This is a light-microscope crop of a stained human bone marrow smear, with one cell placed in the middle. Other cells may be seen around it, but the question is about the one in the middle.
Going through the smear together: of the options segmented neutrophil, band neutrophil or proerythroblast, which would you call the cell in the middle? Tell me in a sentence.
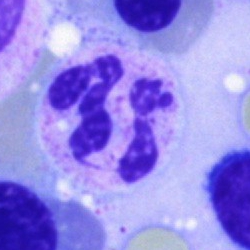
The cell nearest the centre of this crop is a segmented neutrophil.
